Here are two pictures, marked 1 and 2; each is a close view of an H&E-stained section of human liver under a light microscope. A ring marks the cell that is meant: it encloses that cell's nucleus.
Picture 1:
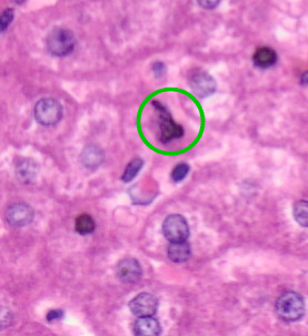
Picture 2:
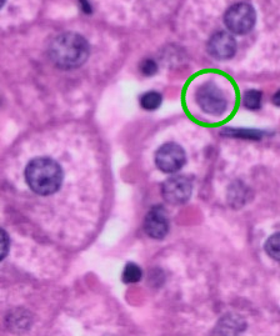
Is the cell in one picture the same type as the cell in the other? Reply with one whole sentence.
Yes, both cells are Kupffer cells.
